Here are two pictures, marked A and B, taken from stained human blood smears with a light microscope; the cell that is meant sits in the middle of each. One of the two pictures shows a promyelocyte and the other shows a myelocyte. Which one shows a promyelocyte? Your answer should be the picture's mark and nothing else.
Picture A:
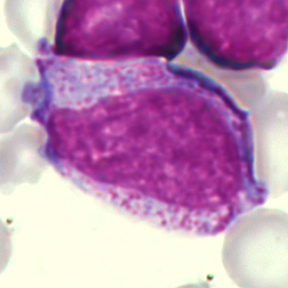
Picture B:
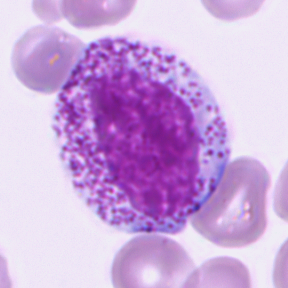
A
